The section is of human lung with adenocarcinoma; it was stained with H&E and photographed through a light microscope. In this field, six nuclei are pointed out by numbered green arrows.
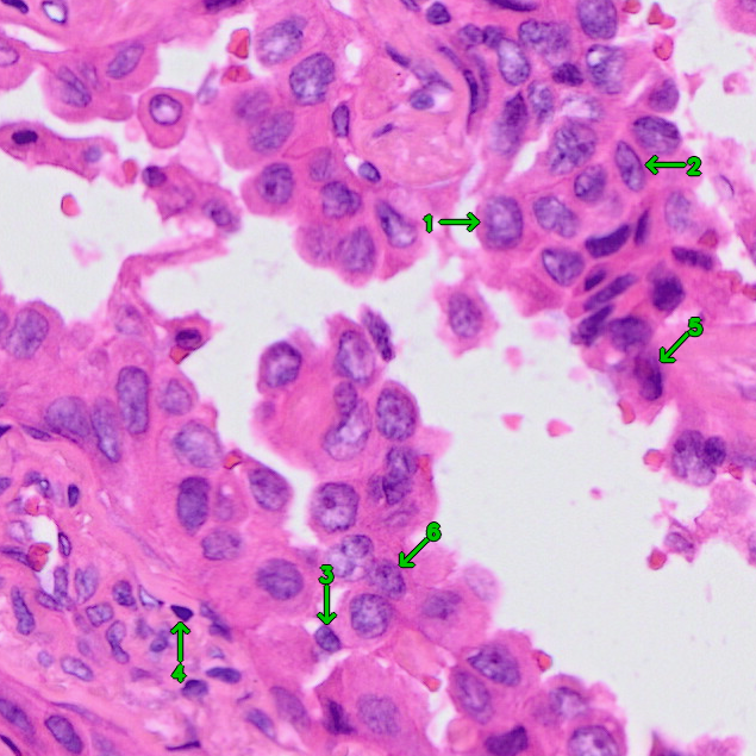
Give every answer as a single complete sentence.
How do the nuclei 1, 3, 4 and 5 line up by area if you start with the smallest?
From smallest to largest, the order is 4, 3, 5, 1.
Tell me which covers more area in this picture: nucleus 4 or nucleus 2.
At about 4 times the area of nucleus 4, nucleus 2 is the larger of the two.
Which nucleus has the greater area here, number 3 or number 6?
It is nucleus 6, which covers about 1.5 times the area of nucleus 3.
